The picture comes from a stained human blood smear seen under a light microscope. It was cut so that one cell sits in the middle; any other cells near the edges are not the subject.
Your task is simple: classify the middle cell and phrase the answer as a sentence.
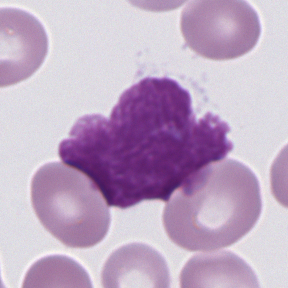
The middle cell in this particular crop is a smudge cell.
